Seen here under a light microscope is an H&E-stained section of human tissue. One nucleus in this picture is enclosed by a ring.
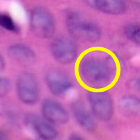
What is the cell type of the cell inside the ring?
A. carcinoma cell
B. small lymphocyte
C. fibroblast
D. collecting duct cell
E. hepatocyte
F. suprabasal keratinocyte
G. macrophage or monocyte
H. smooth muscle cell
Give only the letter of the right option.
F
